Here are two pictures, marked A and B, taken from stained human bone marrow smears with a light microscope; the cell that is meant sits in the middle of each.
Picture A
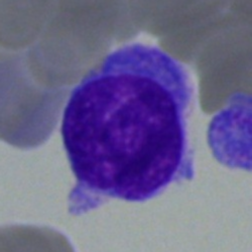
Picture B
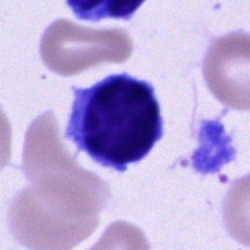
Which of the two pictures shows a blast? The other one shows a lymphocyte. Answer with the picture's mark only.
A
